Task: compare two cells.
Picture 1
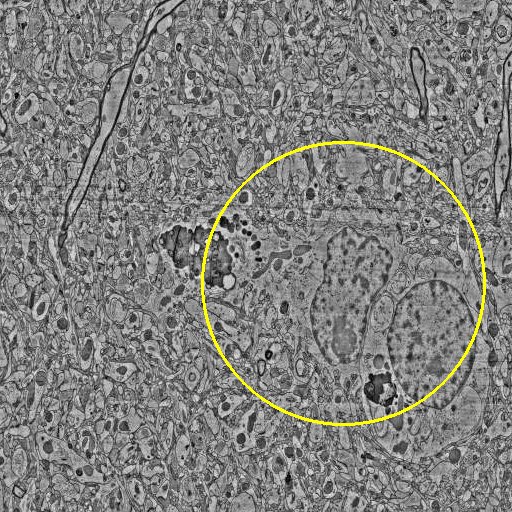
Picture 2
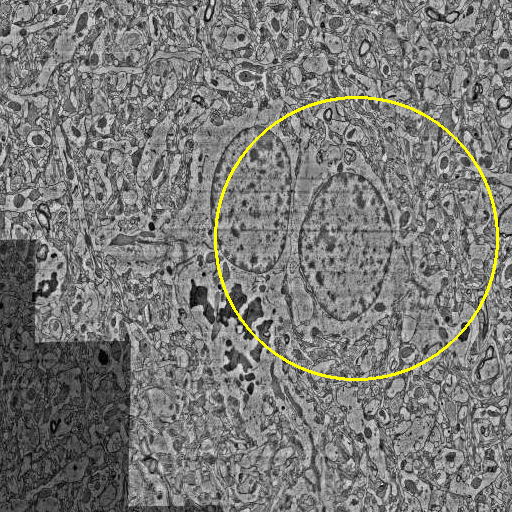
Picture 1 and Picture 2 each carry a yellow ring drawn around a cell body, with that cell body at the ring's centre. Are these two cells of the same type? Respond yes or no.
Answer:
yes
